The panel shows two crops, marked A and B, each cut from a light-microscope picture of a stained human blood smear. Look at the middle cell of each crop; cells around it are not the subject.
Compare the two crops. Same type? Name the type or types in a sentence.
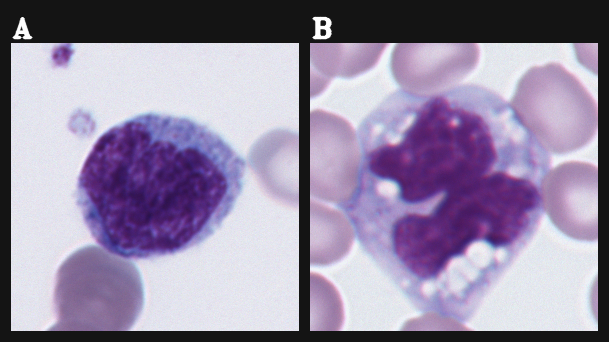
Yes, put down monocytes for both crops.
